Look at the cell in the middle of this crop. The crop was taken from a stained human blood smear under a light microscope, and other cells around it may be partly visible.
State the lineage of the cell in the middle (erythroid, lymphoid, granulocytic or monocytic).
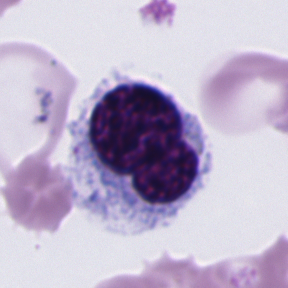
erythroid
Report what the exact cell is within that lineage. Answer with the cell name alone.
normoblast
